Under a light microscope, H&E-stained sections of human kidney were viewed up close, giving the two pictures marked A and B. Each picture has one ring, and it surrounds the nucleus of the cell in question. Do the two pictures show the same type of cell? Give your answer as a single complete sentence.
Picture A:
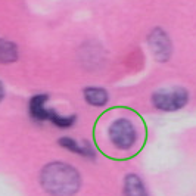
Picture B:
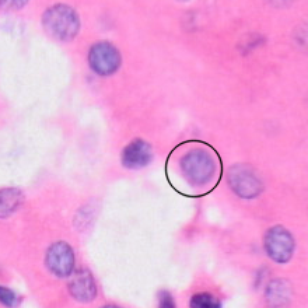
Yes, the two pictures both show “loop of Henle or distal tubule cells”.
